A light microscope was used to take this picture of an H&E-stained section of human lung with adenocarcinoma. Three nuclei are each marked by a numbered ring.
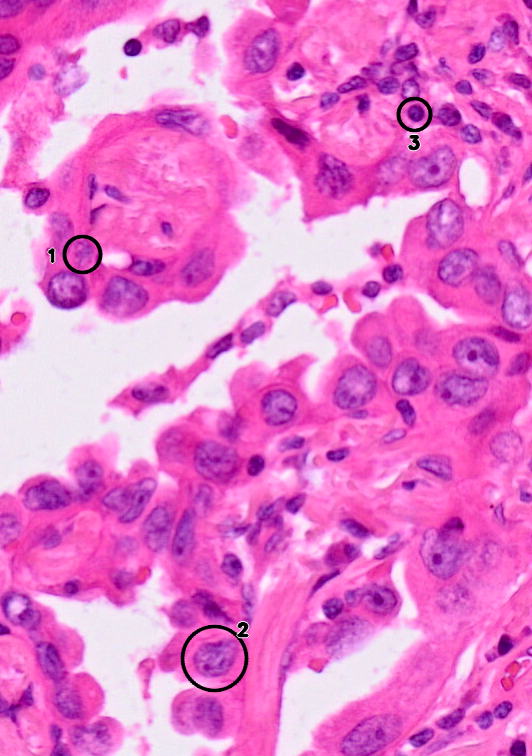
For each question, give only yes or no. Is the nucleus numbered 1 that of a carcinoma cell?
yes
